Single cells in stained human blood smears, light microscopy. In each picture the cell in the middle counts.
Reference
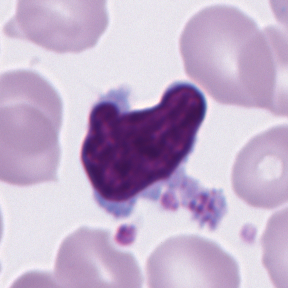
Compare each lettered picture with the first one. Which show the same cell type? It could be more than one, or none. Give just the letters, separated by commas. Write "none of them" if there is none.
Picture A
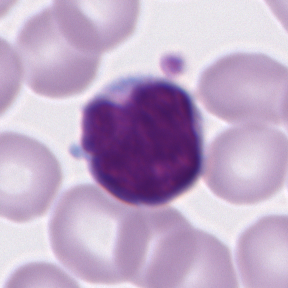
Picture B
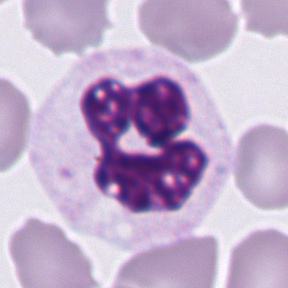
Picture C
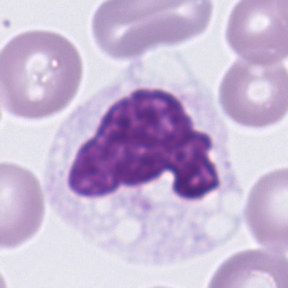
A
